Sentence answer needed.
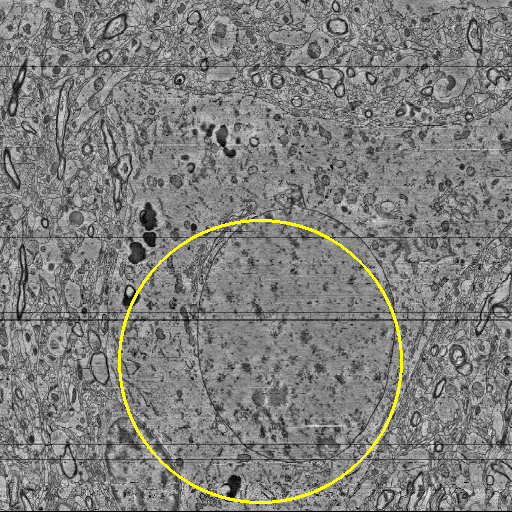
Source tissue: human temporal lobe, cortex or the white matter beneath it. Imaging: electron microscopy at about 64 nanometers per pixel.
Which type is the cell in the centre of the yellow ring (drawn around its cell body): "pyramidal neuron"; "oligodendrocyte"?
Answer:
In the centre of the yellow ring is a pyramidal neuron.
